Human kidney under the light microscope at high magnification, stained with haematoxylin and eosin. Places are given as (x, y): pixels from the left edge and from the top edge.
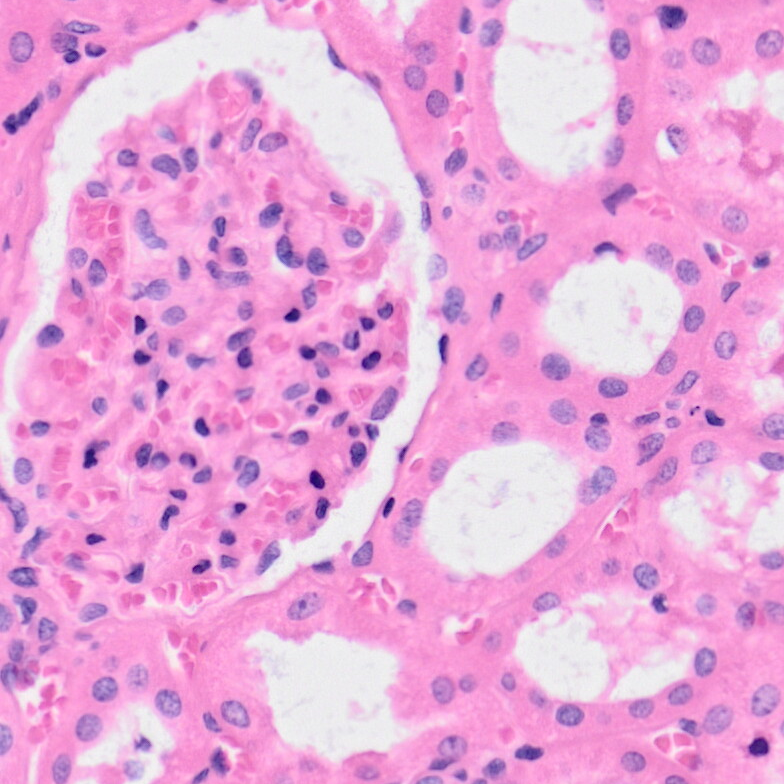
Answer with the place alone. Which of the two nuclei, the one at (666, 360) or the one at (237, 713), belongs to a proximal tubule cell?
(237, 713)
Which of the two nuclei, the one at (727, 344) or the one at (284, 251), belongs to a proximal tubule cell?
(727, 344)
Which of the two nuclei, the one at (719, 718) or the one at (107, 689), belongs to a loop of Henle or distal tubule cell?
(107, 689)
